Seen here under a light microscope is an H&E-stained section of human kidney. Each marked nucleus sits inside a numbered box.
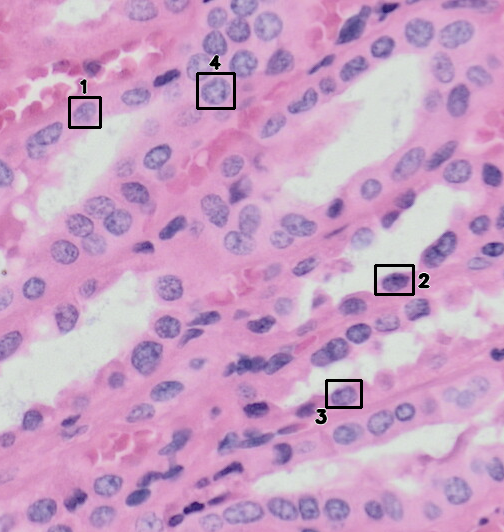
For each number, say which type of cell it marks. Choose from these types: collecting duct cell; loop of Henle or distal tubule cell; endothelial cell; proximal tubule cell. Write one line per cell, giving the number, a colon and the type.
1: collecting duct cell
2: loop of Henle or distal tubule cell
3: loop of Henle or distal tubule cell
4: collecting duct cell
